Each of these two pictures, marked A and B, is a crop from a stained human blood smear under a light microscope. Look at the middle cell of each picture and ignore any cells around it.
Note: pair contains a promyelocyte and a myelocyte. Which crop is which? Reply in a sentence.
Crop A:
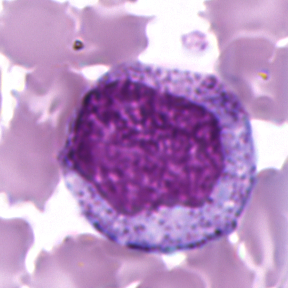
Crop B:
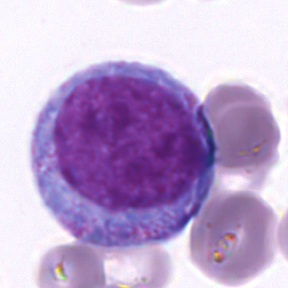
Crop A here is a myelocyte, and crop B is a promyelocyte.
